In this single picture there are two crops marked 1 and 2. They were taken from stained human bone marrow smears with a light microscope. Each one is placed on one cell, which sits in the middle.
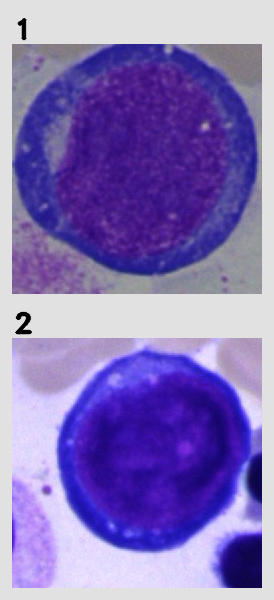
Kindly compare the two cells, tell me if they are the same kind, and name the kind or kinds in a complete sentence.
Yes, the centre of both crops is taken up by proerythroblasts.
